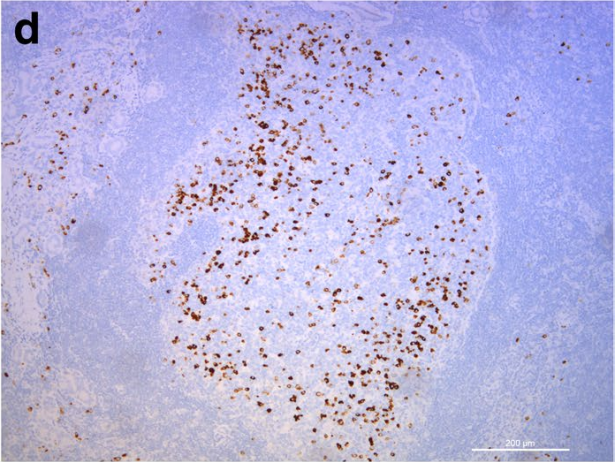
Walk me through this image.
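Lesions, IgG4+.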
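A pale, rounded germinal centre is set among densely packed small blue lymphocytes. Many round brown-stained plasmacytes are gathered within the germinal centre, whereas the surrounding lymphoid tissue holds only a few of them.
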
